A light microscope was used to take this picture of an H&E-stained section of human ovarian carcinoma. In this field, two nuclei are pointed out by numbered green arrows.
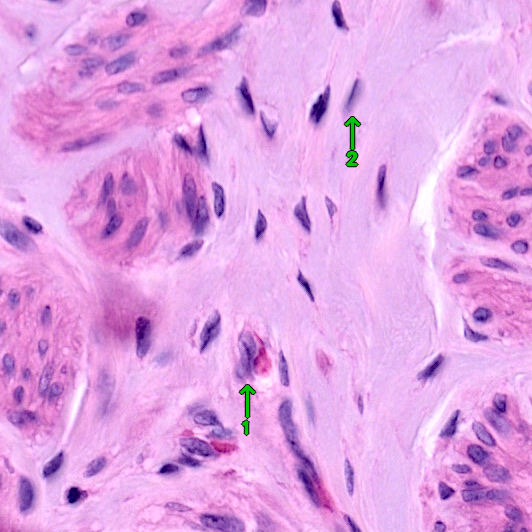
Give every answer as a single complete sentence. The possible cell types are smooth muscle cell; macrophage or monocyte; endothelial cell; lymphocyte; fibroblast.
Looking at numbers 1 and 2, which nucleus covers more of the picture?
Nucleus 1 covers more area, about 4 times as much as nucleus 2.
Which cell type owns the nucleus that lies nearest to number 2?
It is a fibroblast whose nucleus is nearest to number 2.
